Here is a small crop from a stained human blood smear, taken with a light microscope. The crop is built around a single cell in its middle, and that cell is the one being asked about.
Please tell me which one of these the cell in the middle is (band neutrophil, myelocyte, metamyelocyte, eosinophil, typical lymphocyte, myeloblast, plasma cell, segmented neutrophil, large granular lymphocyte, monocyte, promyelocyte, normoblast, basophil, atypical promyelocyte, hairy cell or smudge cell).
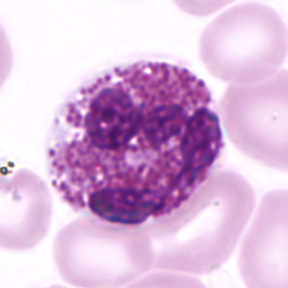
eosinophil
